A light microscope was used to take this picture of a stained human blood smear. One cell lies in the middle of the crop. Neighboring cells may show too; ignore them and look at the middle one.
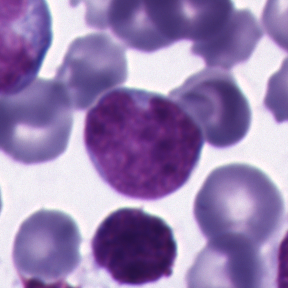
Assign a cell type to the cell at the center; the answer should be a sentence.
The cell sitting right in the middle is a myeloblast.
